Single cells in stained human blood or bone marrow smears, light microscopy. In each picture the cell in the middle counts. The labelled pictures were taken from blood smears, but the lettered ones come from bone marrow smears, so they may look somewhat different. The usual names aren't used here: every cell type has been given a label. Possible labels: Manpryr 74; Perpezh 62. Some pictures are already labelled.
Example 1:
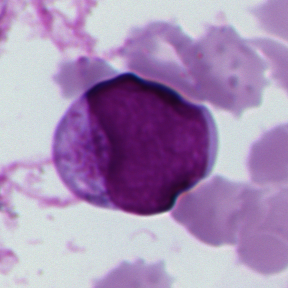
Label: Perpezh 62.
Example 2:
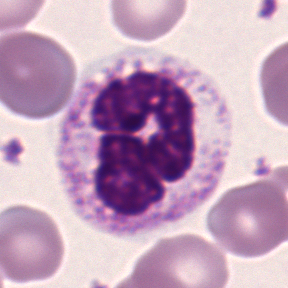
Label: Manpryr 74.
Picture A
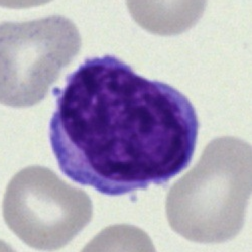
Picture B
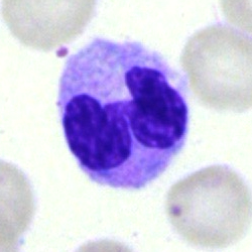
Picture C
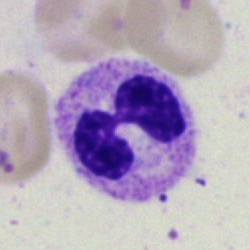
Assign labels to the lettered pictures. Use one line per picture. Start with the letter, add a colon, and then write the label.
A: Perpezh 62.
B: Manpryr 74.
C: Manpryr 74.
